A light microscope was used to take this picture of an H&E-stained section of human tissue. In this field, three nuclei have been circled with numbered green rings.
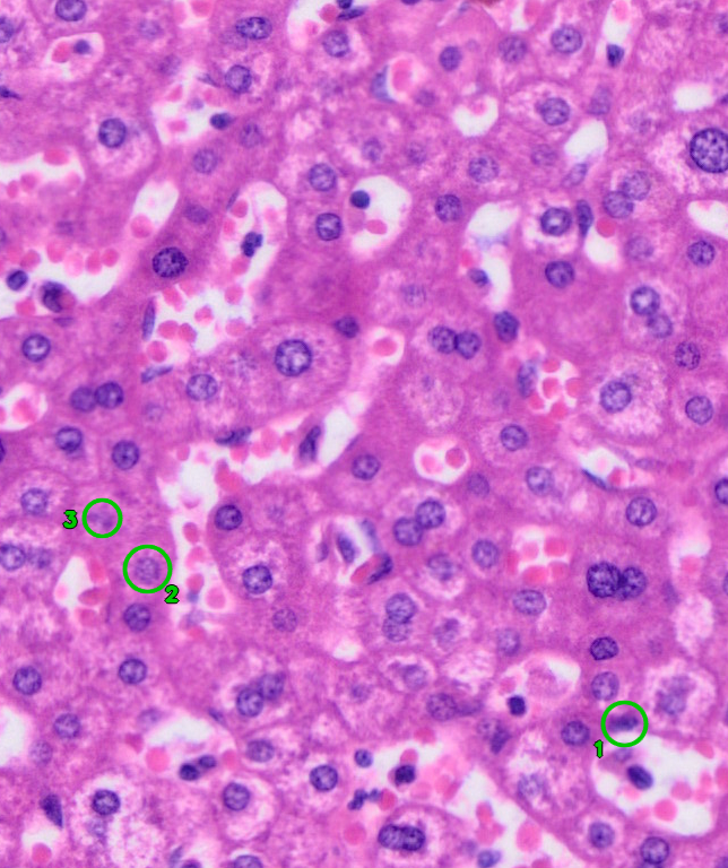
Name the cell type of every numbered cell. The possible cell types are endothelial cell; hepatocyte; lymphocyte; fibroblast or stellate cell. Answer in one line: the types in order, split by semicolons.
fibroblast or stellate cell; hepatocyte; hepatocyte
